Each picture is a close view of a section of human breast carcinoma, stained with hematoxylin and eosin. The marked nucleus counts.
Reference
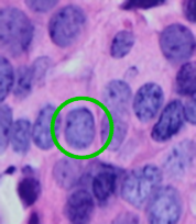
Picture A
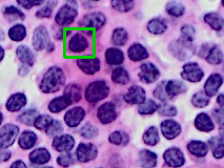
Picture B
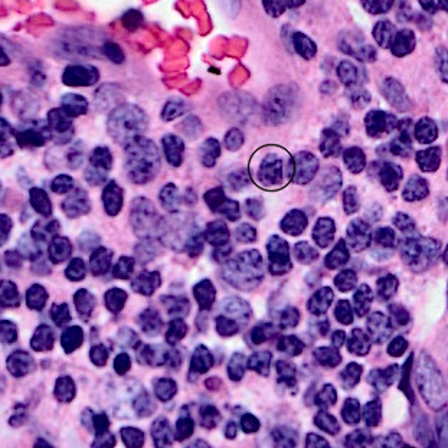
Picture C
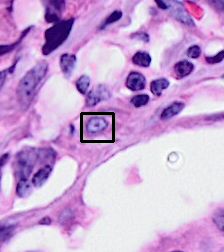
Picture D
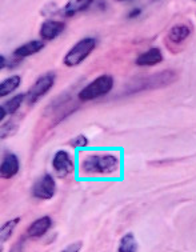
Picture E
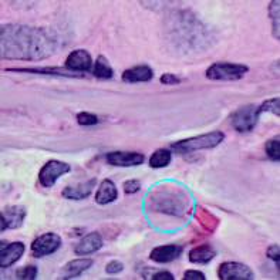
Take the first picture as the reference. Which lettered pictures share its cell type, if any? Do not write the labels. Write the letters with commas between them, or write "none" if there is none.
none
